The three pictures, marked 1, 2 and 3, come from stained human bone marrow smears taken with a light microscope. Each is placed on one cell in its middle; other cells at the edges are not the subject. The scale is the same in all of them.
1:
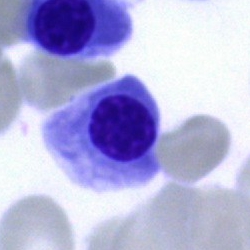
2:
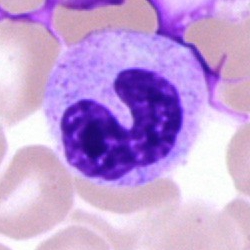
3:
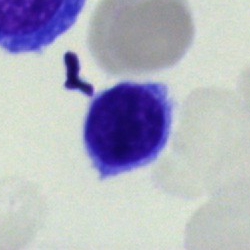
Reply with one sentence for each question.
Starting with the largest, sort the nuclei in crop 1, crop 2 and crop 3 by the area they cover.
Largest first: 2, 3, 1.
